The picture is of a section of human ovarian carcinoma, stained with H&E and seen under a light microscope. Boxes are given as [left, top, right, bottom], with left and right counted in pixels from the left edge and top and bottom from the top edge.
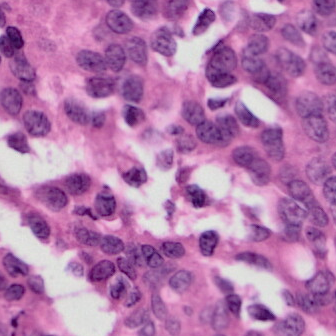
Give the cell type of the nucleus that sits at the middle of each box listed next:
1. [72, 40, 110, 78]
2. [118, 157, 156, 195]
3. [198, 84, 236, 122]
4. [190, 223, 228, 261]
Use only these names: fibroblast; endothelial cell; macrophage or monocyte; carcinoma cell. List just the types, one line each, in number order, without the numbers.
carcinoma cell
carcinoma cell
carcinoma cell
macrophage or monocyte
